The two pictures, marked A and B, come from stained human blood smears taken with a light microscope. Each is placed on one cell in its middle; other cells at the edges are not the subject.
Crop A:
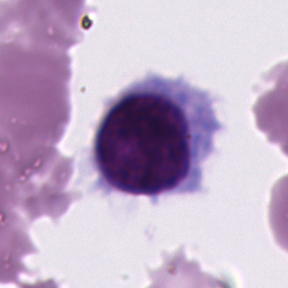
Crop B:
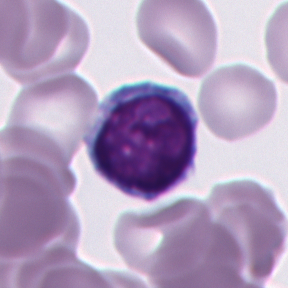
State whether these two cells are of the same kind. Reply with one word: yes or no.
no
